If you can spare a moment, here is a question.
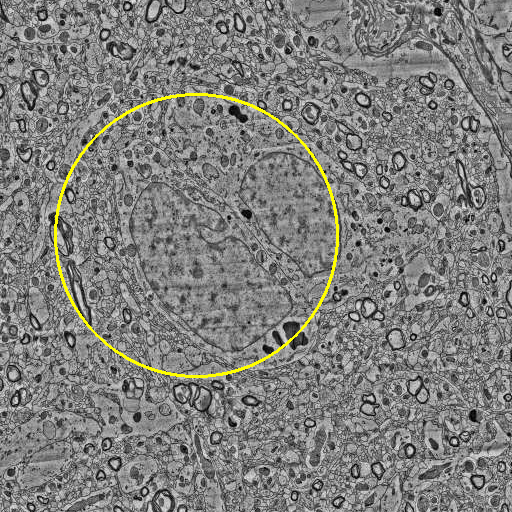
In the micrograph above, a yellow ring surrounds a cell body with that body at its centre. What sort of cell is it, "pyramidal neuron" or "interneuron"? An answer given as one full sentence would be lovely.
Centred inside the yellow ring, the cell body shown belongs to an interneuron in this micrograph.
